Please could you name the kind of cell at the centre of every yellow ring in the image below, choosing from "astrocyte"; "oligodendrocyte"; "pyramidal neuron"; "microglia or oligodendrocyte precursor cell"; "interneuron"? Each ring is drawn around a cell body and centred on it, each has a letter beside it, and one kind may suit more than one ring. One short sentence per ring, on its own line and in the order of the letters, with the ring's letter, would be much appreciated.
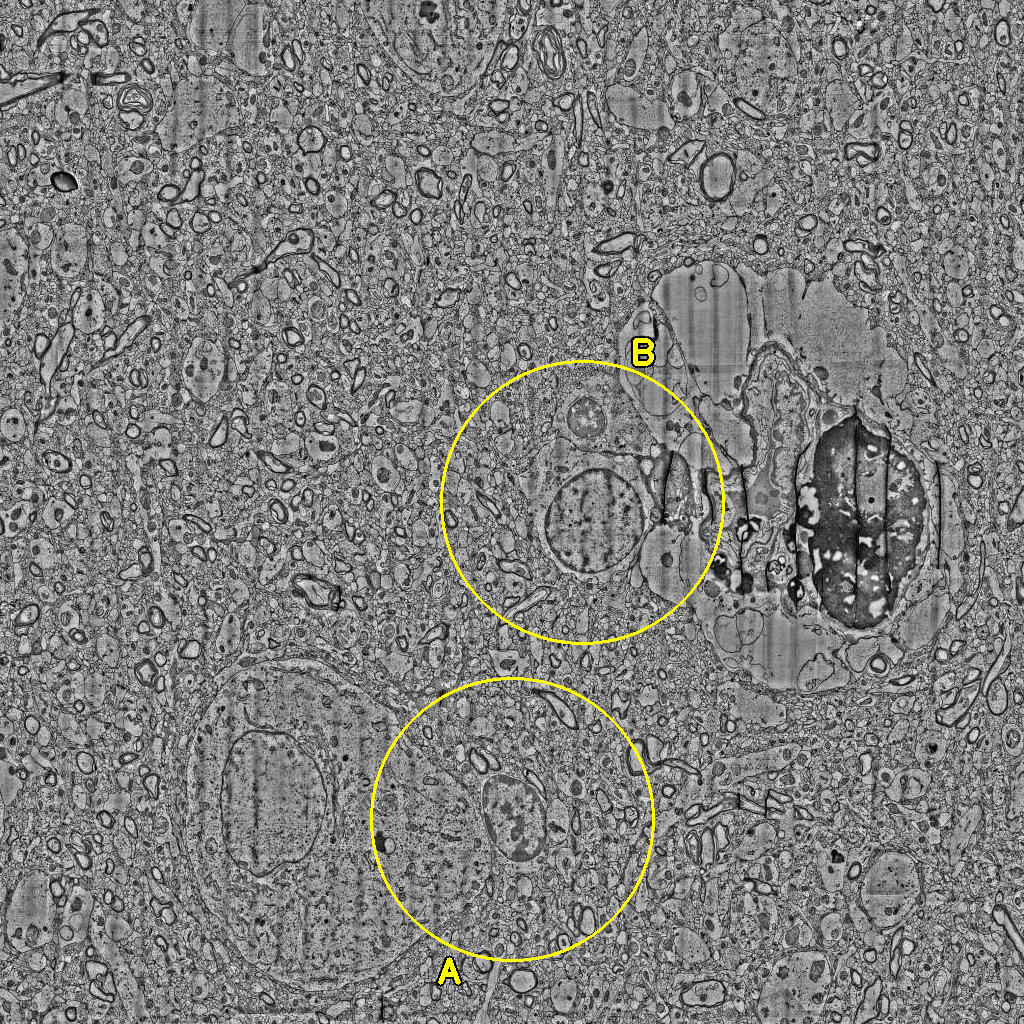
The cell in the middle of ring A is a microglial cell or oligodendrocyte precursor cell.
The cell in the middle of ring B is a microglial cell or oligodendrocyte precursor cell.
